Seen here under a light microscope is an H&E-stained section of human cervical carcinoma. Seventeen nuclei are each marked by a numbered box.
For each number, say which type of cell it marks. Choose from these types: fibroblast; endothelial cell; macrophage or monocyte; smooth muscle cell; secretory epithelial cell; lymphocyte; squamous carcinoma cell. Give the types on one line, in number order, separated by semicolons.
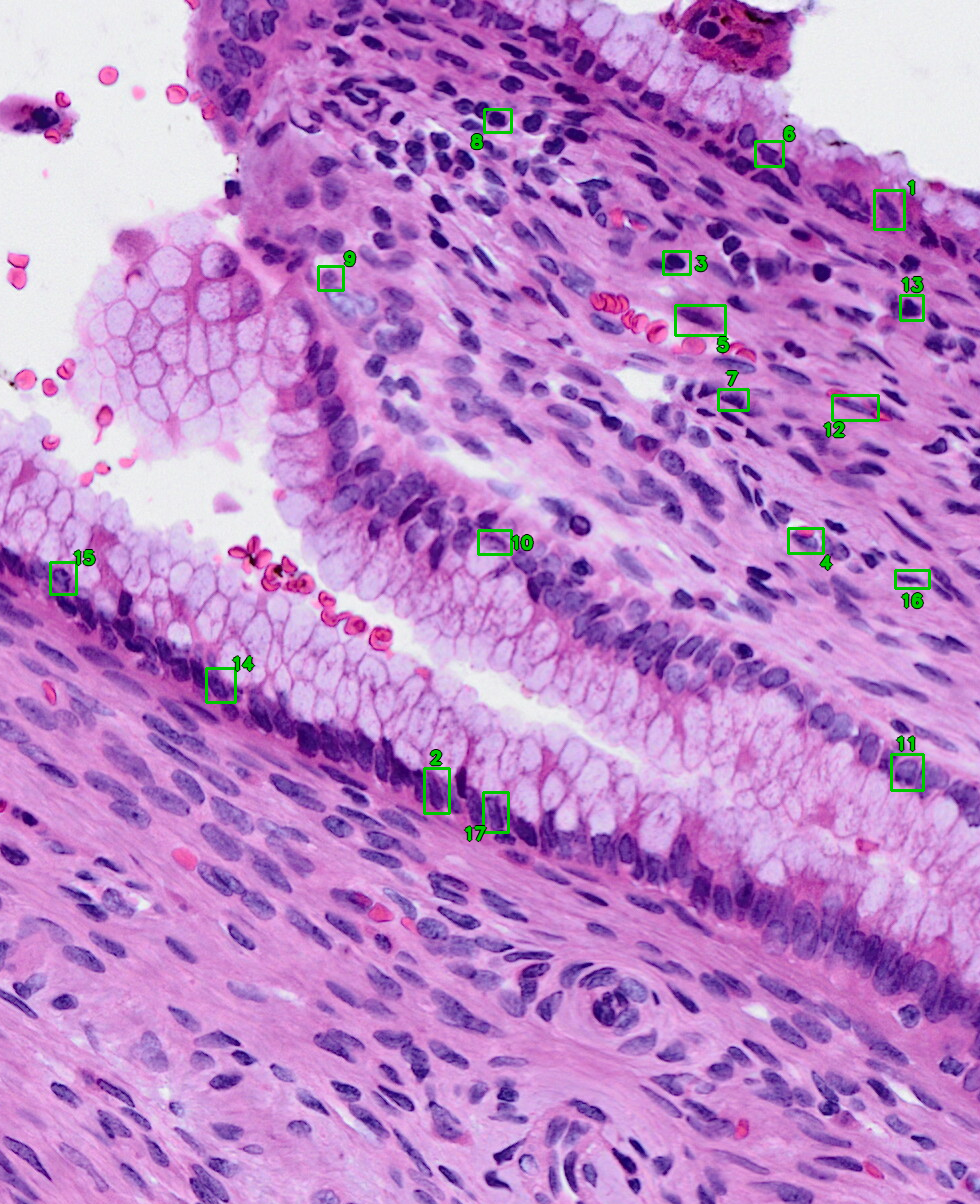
secretory epithelial cell; secretory epithelial cell; lymphocyte; endothelial cell; endothelial cell; secretory epithelial cell; fibroblast; lymphocyte; endothelial cell; secretory epithelial cell; secretory epithelial cell; endothelial cell; lymphocyte; secretory epithelial cell; secretory epithelial cell; fibroblast; secretory epithelial cell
